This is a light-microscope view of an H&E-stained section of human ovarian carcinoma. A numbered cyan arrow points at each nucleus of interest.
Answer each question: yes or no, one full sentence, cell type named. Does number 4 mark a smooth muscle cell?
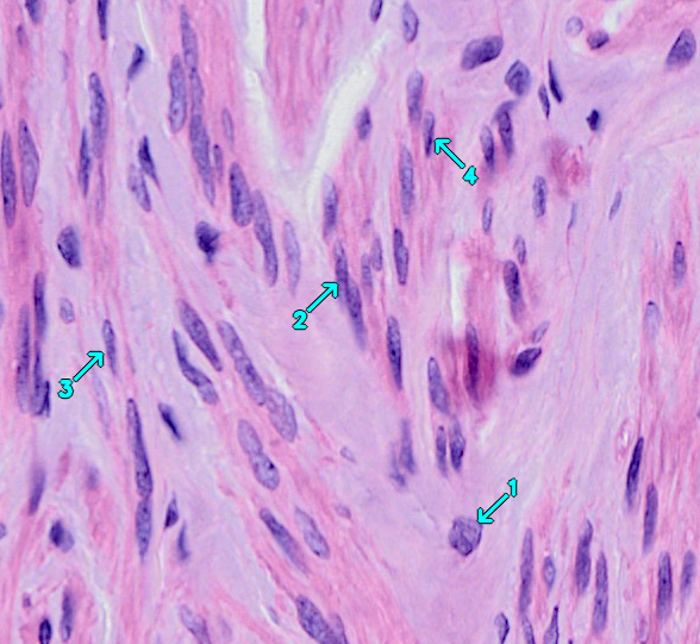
Yes, the cell labelled with number 4 is a smooth muscle cell.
